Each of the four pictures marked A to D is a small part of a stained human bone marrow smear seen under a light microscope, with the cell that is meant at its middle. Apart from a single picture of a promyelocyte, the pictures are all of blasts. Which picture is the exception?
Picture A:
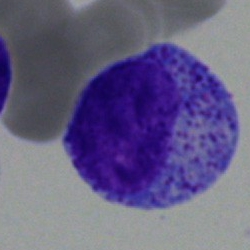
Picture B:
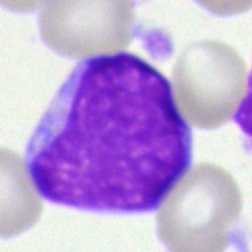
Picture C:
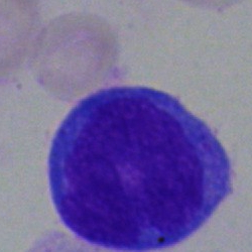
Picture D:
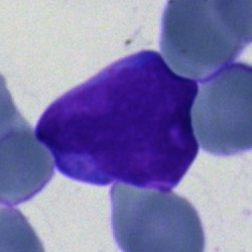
A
